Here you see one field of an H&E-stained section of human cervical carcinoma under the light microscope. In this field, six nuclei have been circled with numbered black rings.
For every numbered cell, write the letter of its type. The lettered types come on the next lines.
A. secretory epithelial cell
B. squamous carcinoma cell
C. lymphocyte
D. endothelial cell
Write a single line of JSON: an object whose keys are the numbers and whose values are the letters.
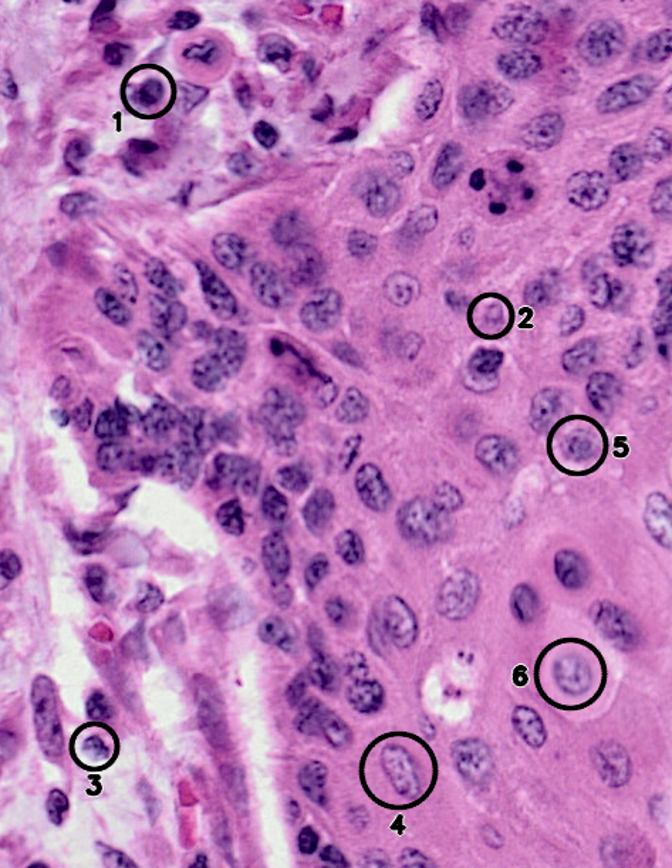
{"1": "C", "2": "B", "3": "C", "4": "B", "5": "B", "6": "B"}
